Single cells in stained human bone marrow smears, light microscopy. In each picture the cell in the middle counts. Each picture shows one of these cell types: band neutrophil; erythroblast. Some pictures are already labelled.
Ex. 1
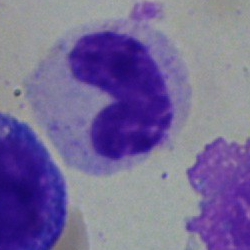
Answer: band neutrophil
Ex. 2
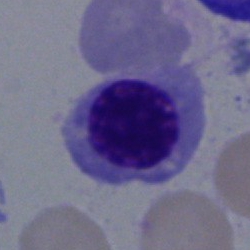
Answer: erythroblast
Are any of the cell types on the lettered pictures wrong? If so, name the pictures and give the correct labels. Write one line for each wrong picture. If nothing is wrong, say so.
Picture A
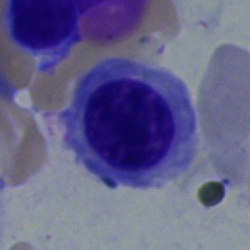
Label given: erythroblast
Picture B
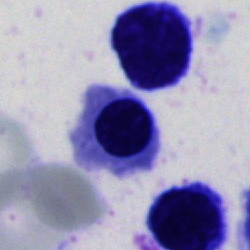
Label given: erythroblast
Every label is right.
